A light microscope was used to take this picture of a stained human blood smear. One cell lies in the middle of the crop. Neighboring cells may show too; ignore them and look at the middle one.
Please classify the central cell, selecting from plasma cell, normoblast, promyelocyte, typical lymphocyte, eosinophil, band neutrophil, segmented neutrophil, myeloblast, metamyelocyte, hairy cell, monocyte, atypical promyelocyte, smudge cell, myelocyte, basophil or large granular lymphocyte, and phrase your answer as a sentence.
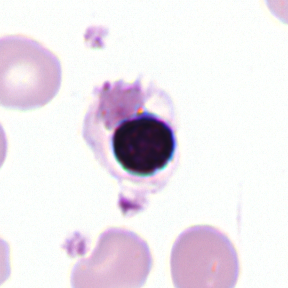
The target cell in the middle of the crop is a normoblast.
